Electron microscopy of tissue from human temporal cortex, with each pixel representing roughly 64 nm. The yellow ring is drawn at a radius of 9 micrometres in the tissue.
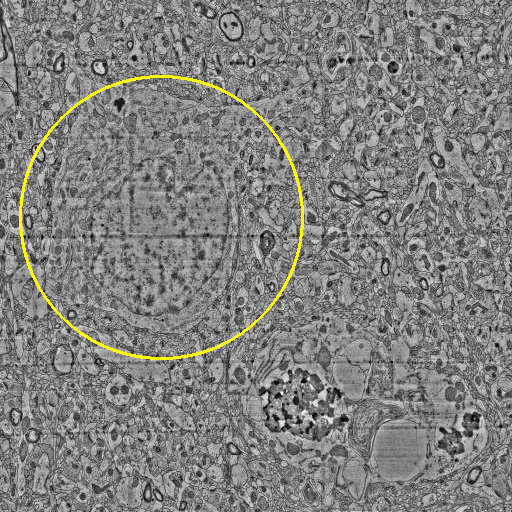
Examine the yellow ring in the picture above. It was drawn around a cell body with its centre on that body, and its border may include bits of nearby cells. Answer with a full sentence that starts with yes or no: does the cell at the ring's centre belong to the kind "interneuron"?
Yes, the cell at the heart of the ring shown in the image is of that kind.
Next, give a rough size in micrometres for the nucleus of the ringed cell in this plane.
The nucleus appears roughly 11 by 9 micrometres in this plane.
